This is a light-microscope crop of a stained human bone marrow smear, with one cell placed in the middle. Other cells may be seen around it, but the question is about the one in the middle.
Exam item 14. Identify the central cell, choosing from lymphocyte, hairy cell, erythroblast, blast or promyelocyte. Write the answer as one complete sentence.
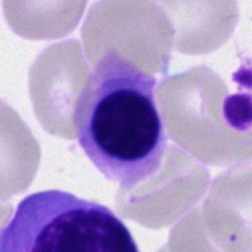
Answering briefly, the cell in the middle is an erythroblast.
